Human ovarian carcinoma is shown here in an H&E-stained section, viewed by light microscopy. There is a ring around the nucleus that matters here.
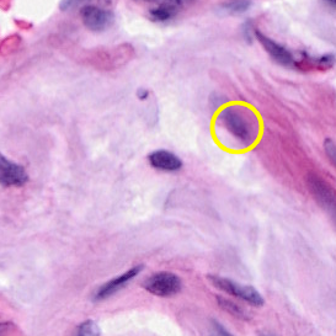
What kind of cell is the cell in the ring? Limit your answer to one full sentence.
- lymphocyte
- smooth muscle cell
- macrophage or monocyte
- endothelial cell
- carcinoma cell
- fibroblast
The cell type of the cell in the ring is that of a smooth muscle cell.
